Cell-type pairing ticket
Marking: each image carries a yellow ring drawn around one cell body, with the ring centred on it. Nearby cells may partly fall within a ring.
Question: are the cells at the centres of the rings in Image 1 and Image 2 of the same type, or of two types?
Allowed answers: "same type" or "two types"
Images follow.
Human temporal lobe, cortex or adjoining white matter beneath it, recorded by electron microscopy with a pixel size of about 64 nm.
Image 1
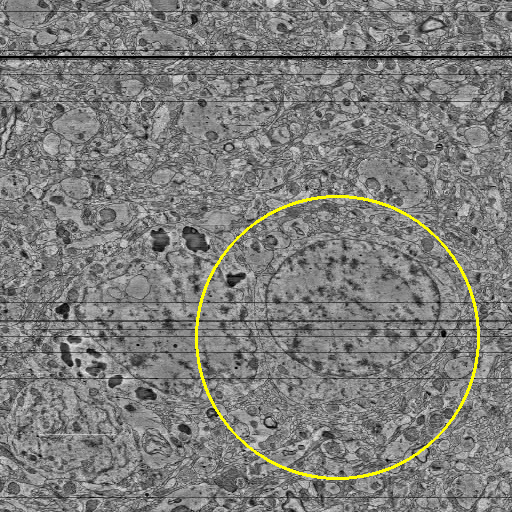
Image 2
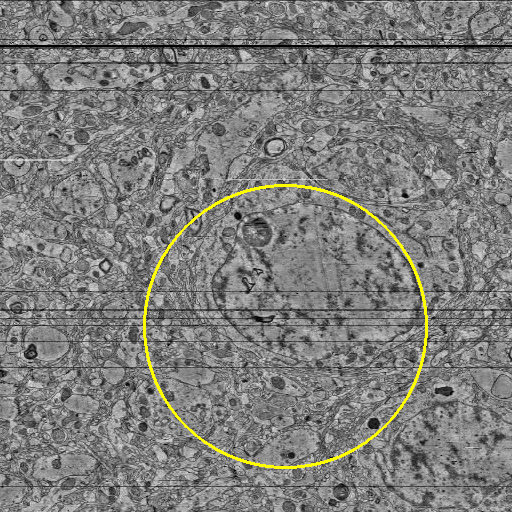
same type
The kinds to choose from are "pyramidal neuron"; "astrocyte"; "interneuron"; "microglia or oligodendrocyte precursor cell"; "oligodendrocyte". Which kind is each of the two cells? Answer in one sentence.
In each of the two pictures, the ringed cell is a pyramidal neuron.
